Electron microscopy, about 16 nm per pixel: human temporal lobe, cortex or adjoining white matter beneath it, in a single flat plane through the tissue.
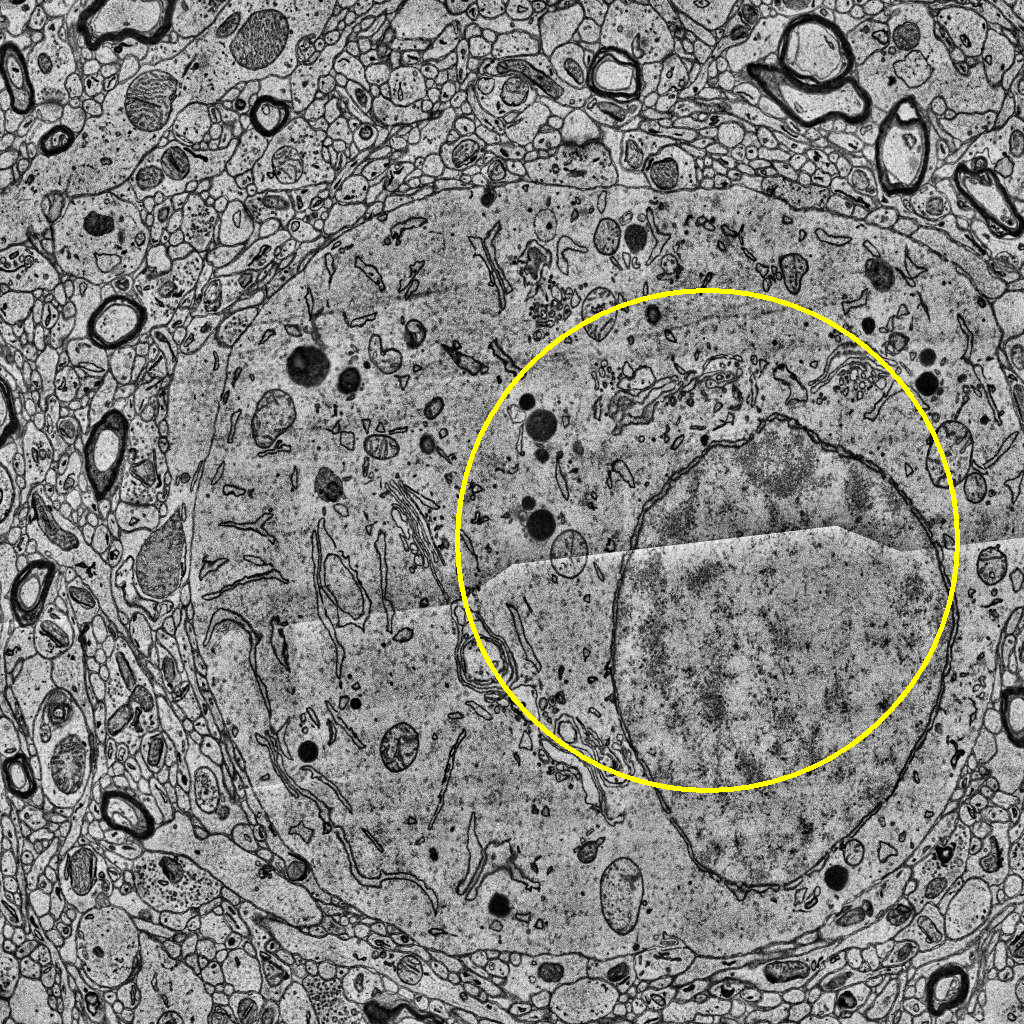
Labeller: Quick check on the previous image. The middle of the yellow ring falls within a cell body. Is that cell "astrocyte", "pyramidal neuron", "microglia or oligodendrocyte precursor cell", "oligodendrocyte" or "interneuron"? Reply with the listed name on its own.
pyramidal neuron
